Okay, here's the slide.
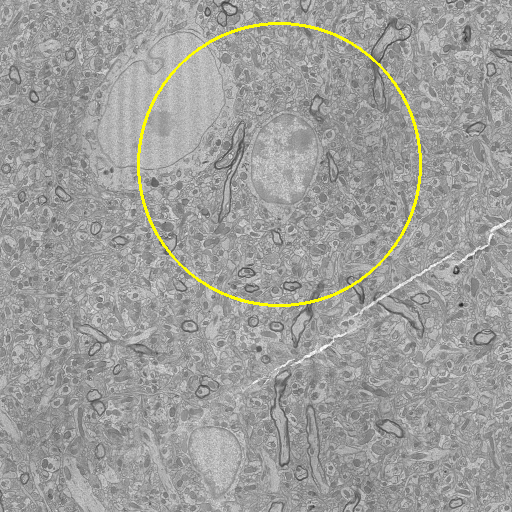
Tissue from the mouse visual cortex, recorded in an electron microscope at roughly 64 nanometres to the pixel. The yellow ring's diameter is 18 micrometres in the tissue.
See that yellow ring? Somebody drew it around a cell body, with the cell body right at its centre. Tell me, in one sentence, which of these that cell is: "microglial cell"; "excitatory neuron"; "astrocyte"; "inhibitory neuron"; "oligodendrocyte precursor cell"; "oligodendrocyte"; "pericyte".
The cell in the middle of the ring is an oligodendrocyte.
